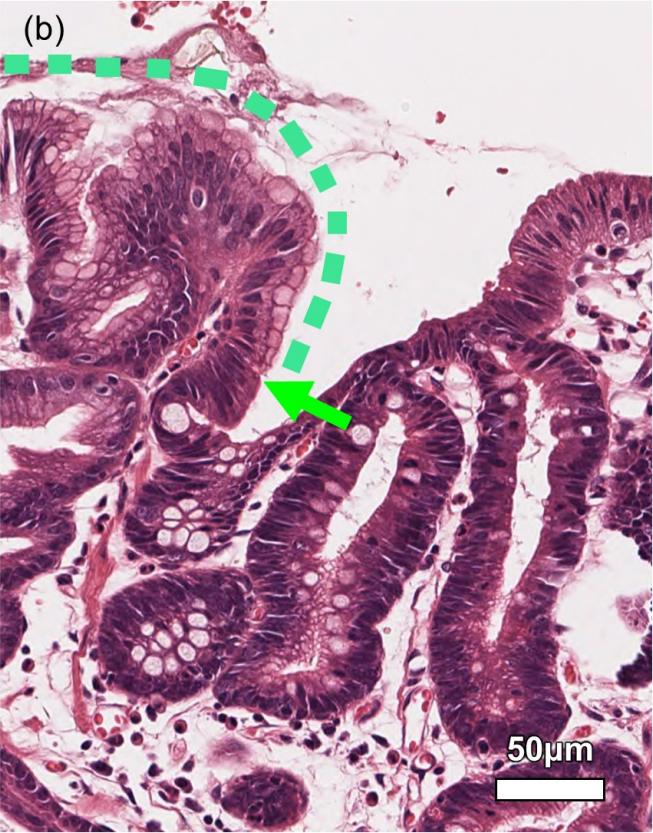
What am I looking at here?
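A fold of columnar epithelium at the upper left is covered by tall cells with basal nuclei and pink cytoplasm, many holding rounded pale mucin vacuoles. Beside it, elongated glandular structures are lined by cells with crowded, elongated, deeply stained nuclei stacked along the lining. Where the two epithelia meet, the change from one cell pattern to the other is abrupt. The intervening stroma is loose and pale with scattered small nuclei and red blood cells.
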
